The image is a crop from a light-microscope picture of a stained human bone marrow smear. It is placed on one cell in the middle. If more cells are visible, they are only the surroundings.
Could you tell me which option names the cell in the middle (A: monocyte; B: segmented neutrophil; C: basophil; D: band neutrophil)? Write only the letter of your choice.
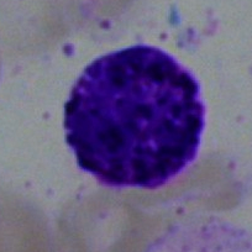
C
